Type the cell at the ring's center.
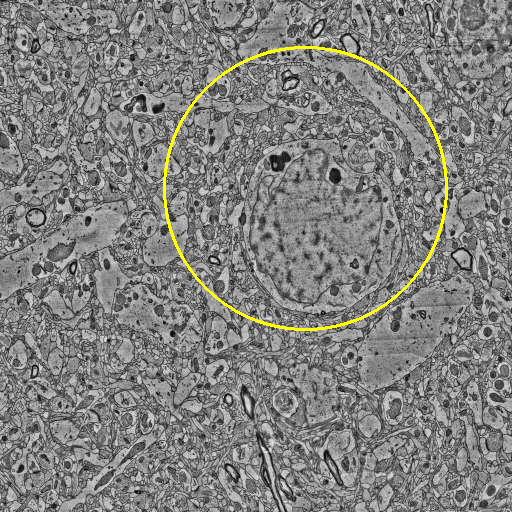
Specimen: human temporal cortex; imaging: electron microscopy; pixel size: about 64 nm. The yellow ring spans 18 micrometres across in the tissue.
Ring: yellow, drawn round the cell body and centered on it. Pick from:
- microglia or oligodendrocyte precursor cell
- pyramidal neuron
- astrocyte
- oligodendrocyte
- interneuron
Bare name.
interneuron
